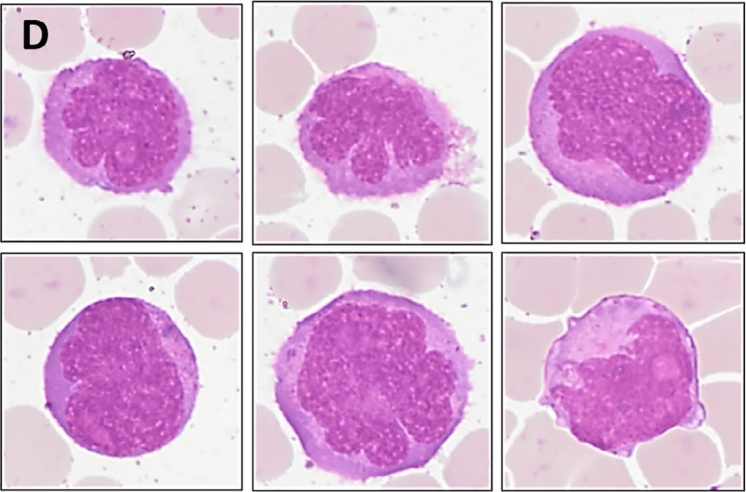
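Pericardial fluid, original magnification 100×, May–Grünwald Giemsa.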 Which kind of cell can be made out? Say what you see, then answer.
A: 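Large abnormal lymphocytes. Single round cells much larger than the surrounding red cells. Each has a large nucleus filling most of the cell. Nuclear outlines are folded and lobulated. A thin rim of pale blue-purple cytoplasm surrounds the nucleus.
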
